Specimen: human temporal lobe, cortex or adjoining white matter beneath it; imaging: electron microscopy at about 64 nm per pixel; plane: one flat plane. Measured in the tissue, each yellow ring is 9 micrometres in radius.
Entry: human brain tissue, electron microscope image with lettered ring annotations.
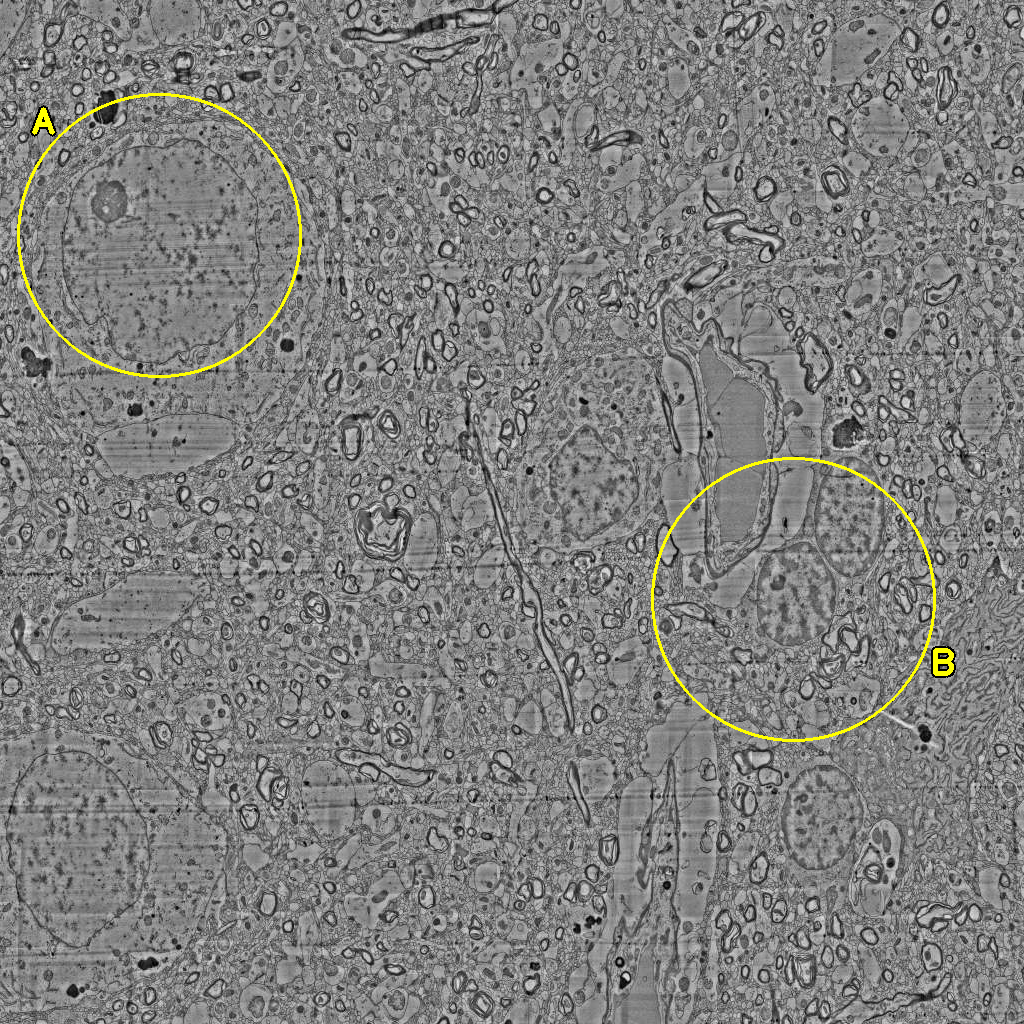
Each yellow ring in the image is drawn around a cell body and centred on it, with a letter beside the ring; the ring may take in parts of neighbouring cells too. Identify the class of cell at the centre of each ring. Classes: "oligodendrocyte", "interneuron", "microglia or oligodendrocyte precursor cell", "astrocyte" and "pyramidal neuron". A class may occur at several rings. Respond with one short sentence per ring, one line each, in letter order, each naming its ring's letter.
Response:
Ring A holds a pyramidal neuron at its centre.
Ring B holds an oligodendrocyte at its centre.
